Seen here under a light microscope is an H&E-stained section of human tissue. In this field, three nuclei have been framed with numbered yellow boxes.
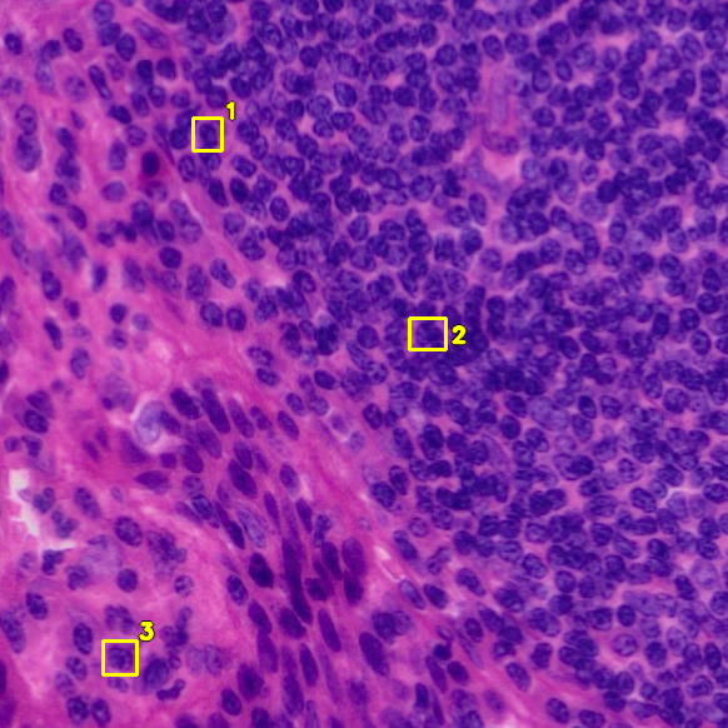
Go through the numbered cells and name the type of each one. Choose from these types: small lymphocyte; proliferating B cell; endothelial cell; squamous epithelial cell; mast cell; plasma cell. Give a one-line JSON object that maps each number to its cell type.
{"1": "plasma cell", "2": "small lymphocyte", "3": "plasma cell"}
